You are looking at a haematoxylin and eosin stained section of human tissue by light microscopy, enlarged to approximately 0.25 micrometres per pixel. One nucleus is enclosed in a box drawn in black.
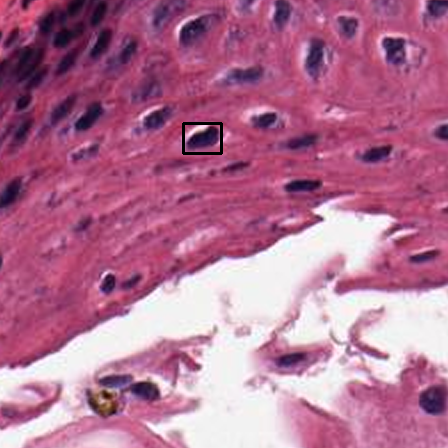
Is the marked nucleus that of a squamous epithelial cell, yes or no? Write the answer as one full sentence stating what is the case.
Yes, the marked nucleus is the nucleus of a squamous epithelial cell.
